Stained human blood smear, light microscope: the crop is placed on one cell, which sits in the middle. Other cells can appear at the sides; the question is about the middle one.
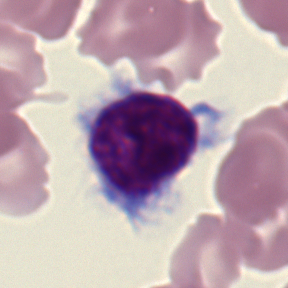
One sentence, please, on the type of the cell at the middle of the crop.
This crop is built around a hairy cell at its centre.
